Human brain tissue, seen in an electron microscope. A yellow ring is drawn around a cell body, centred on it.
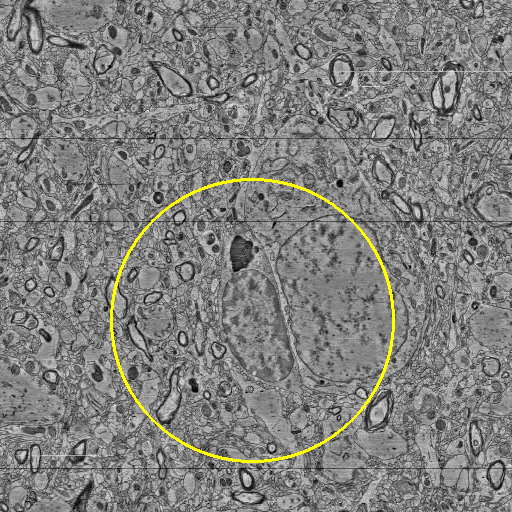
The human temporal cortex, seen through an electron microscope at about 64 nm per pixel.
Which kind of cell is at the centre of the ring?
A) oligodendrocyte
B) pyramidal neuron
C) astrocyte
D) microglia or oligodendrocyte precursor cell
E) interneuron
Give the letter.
A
